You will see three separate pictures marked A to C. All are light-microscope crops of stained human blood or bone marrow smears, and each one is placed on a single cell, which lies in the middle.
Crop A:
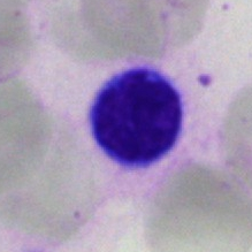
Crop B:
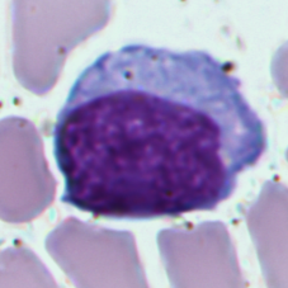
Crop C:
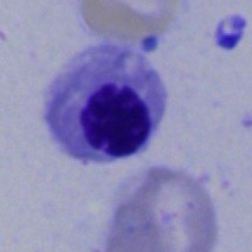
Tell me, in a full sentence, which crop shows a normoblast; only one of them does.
Crop C represents a normoblast, while the other crops do not.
